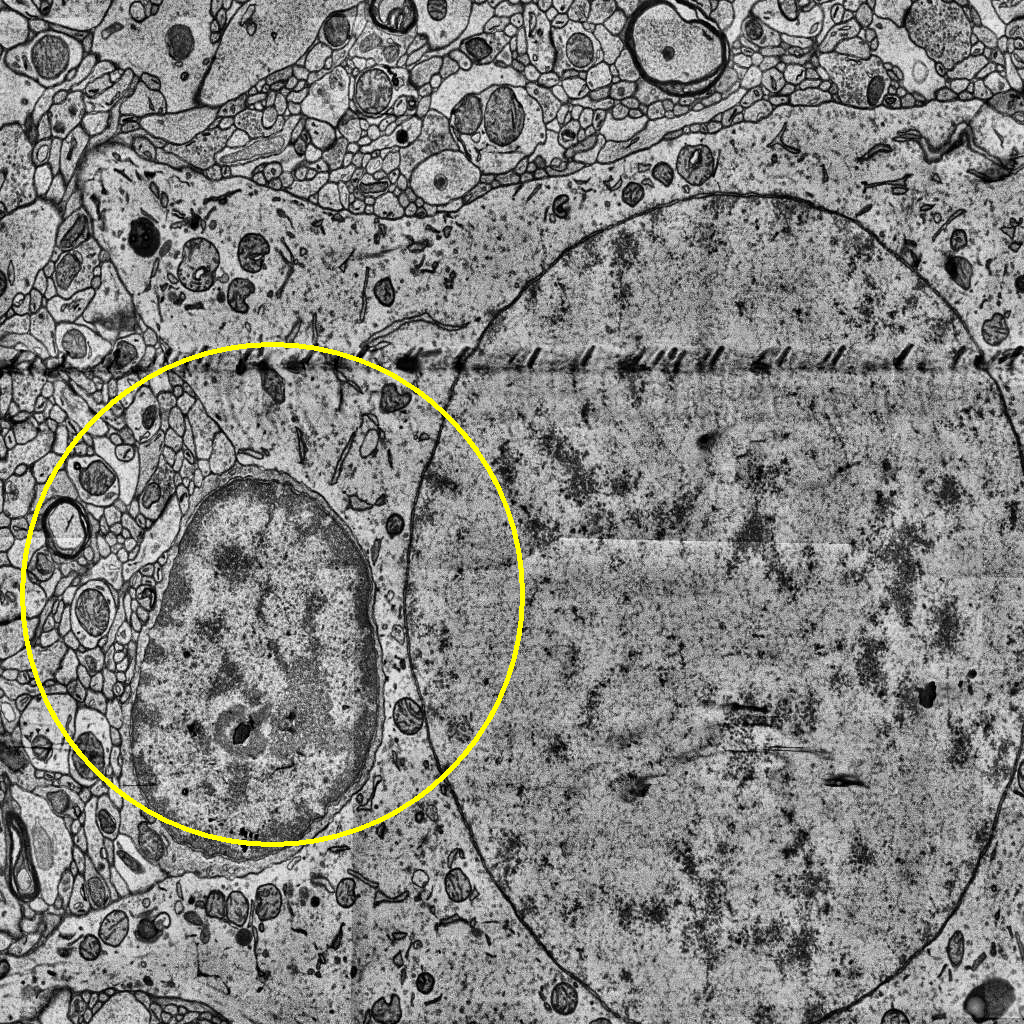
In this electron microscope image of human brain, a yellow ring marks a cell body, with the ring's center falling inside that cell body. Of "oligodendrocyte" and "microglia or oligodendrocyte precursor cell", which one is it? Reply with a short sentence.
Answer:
It is an oligodendrocyte at the center of the ring.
